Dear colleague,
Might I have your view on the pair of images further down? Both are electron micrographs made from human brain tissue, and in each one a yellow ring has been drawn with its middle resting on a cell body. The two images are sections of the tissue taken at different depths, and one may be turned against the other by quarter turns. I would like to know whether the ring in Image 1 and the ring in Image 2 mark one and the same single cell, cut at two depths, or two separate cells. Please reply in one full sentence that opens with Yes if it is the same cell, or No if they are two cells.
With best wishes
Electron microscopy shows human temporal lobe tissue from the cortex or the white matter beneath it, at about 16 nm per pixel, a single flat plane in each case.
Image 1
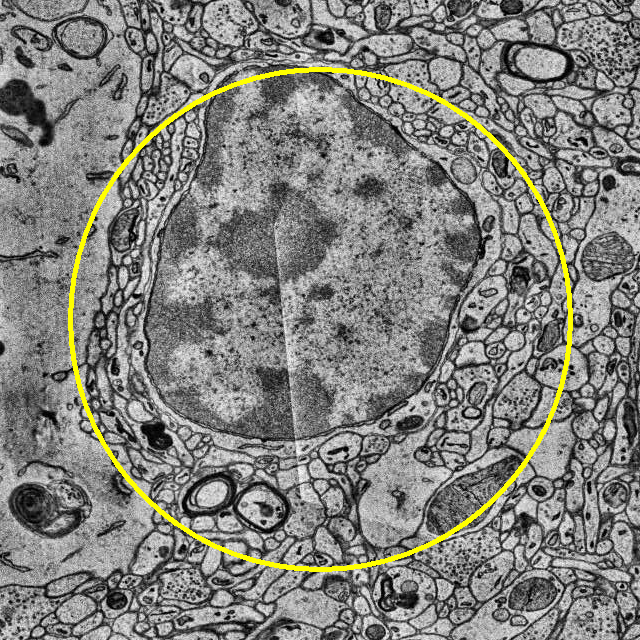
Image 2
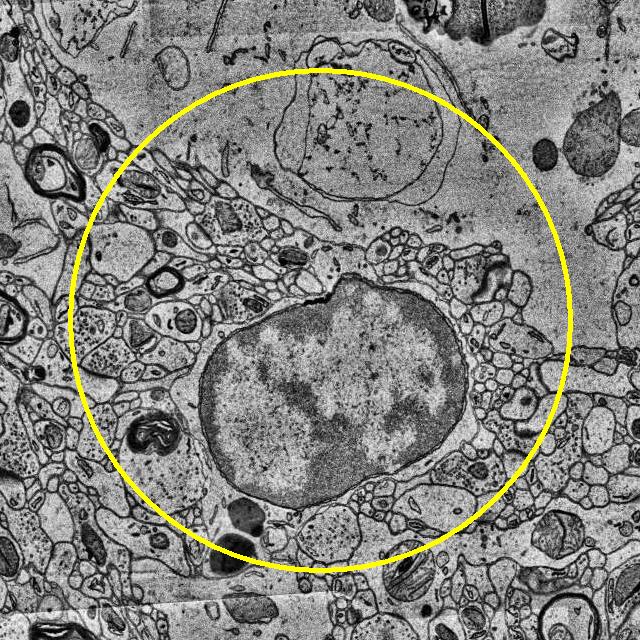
Yes, the two marked outlines come from one and the same cell.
